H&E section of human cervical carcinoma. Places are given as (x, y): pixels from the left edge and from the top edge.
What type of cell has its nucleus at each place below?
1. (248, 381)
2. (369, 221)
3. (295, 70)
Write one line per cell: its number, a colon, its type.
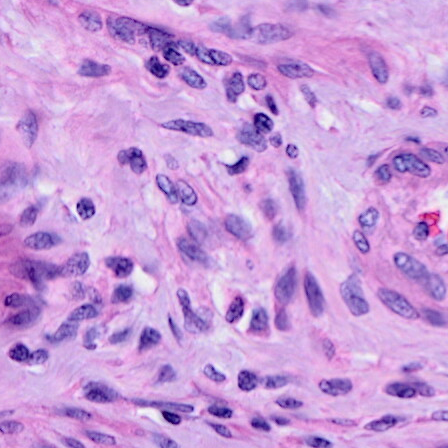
1: lymphocyte
2: smooth muscle cell
3: endothelial cell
